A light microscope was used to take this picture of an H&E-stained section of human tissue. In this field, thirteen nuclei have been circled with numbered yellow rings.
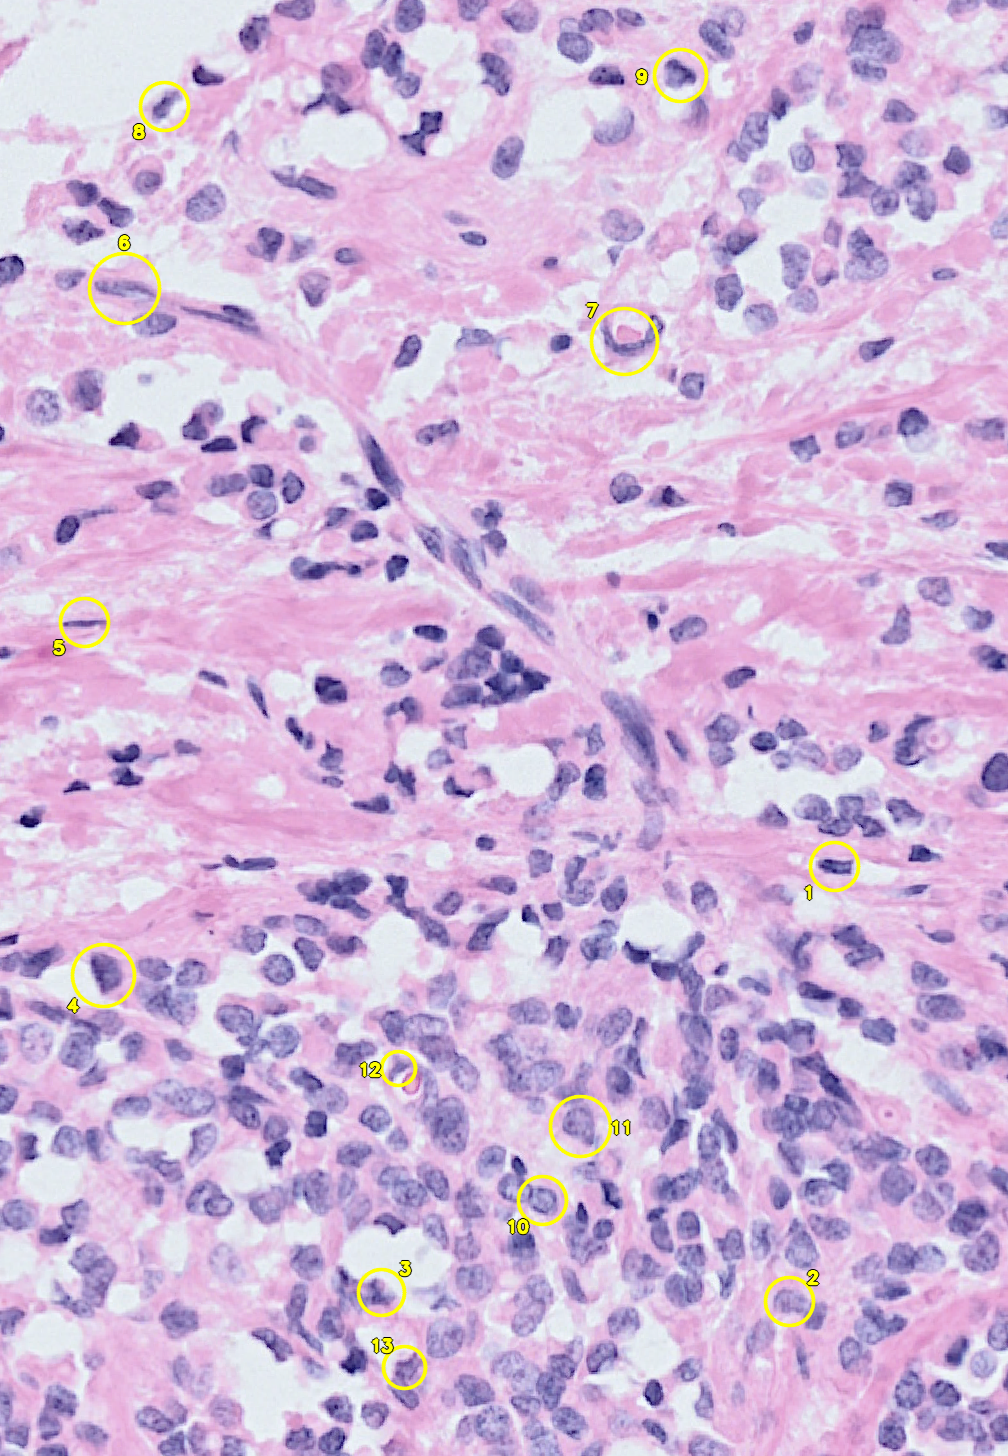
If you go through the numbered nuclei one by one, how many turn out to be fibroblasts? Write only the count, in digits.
2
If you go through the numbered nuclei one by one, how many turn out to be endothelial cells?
3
